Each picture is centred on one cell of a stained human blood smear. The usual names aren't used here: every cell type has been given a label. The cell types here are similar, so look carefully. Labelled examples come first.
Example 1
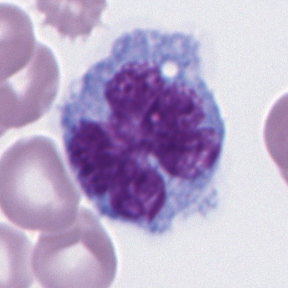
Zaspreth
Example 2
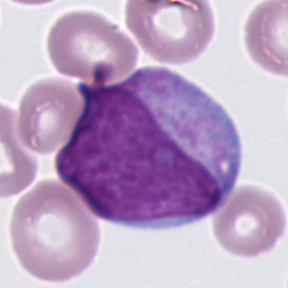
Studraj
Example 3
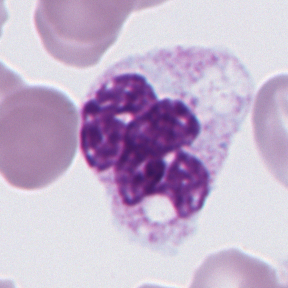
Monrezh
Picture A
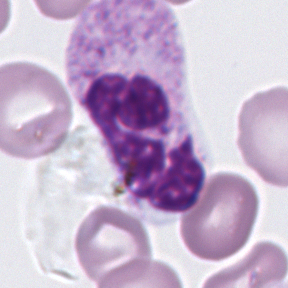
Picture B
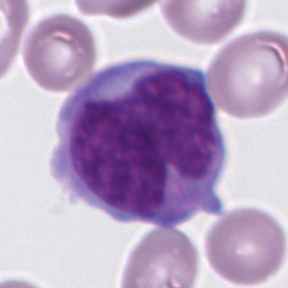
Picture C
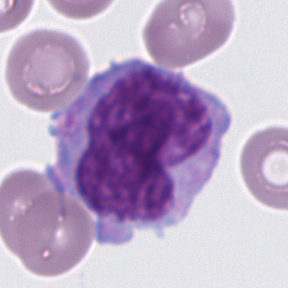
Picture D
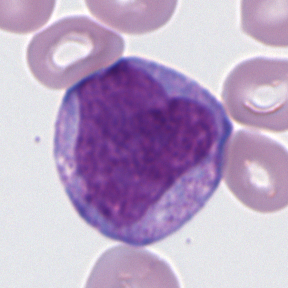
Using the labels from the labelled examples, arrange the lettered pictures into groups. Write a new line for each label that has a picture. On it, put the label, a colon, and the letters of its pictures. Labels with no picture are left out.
Studraj: B, C, D
Monrezh: A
